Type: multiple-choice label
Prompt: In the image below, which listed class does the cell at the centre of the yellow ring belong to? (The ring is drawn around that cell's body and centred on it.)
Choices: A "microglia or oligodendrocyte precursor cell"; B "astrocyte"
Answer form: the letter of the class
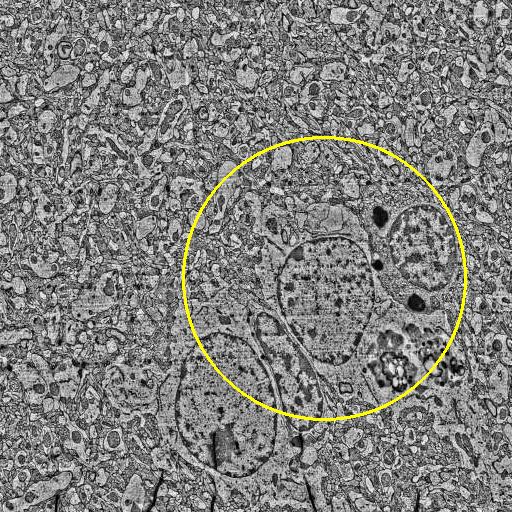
B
